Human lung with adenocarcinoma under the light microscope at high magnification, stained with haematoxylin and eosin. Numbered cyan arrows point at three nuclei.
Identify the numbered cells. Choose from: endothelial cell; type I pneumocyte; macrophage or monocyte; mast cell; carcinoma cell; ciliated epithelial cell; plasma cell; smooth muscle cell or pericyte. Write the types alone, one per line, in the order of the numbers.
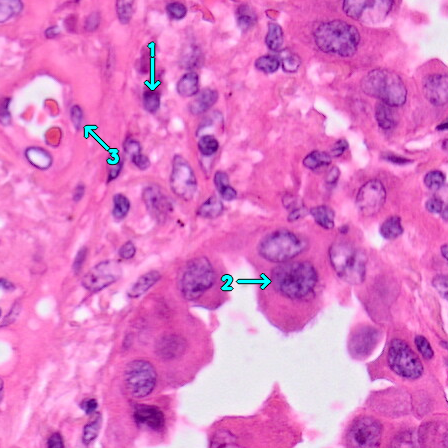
plasma cell
carcinoma cell
endothelial cell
